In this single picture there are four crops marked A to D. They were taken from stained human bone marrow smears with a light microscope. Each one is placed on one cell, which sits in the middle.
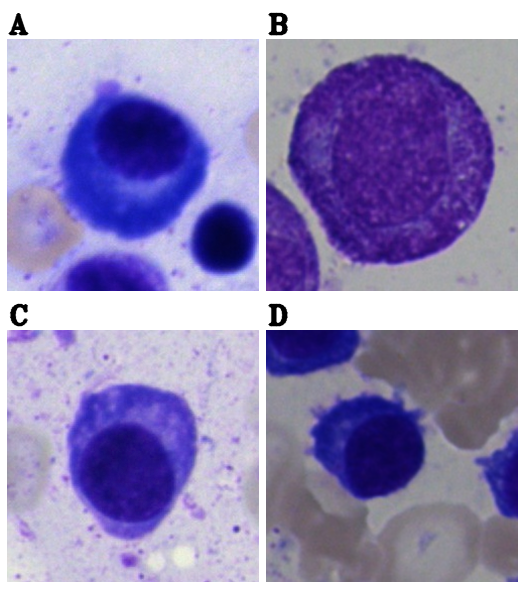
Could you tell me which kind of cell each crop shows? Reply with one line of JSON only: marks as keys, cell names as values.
{"A": "plasma cell", "B": "promyelocyte", "C": "plasma cell", "D": "plasma cell"}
